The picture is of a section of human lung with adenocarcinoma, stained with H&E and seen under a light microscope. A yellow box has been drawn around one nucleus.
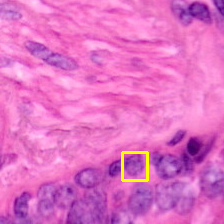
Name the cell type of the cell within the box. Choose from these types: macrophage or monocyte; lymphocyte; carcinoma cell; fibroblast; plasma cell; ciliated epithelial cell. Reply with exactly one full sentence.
The correct response here is that the cell within the box is a ciliated epithelial cell.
